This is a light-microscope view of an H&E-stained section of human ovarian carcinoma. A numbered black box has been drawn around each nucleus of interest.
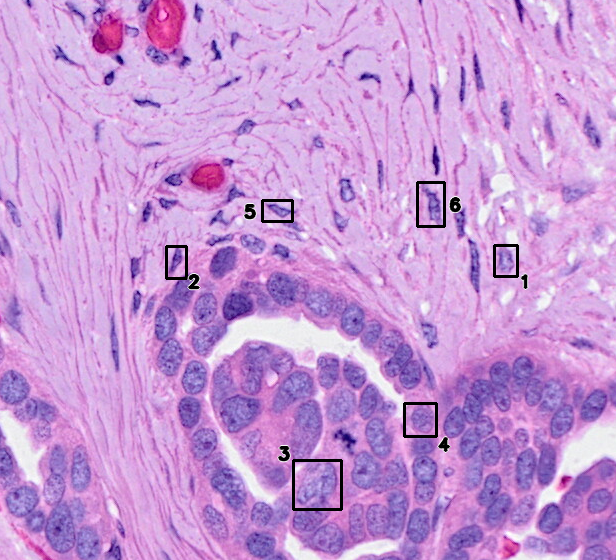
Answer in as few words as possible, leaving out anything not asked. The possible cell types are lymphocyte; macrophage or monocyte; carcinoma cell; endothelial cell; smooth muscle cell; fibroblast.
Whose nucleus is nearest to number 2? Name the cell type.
carcinoma cell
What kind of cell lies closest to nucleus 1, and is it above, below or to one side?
a fibroblast to the left of nucleus 1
